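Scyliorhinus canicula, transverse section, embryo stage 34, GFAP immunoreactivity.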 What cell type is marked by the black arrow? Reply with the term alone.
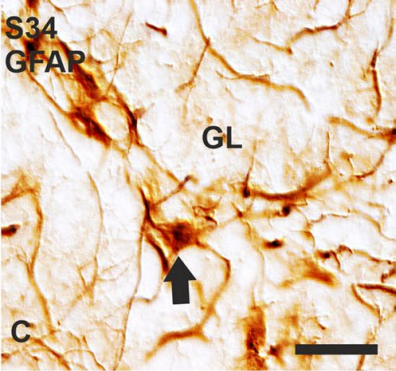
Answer: Astrocyte-like cells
